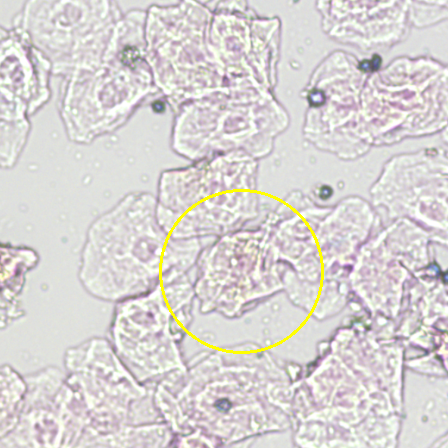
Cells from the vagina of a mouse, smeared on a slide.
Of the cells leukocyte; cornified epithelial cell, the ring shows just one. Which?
The ring shows a cornified epithelial cell.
